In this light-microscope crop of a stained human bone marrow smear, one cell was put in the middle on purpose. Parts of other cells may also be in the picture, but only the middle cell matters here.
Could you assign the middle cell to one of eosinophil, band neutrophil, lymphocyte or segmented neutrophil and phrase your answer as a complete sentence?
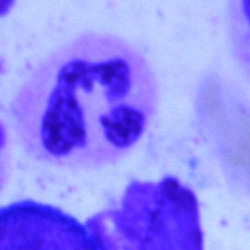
Whatever else lies nearby, the middle cell is a segmented neutrophil.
